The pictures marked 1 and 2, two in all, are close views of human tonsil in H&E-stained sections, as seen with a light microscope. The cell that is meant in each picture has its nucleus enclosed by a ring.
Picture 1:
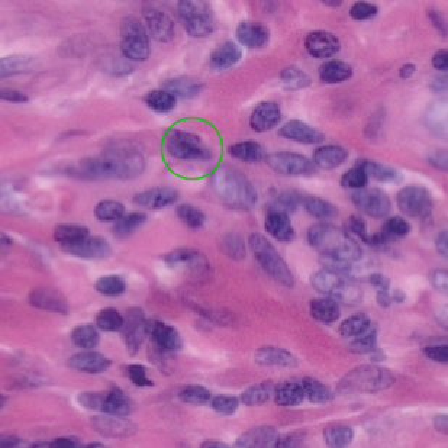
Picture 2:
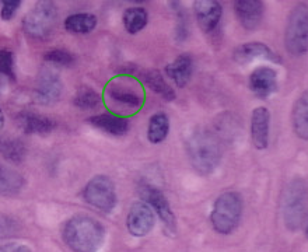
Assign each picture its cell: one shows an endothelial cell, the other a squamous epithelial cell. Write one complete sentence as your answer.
Picture 2 shows a squamous epithelial cell, while picture 1 shows an endothelial cell.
